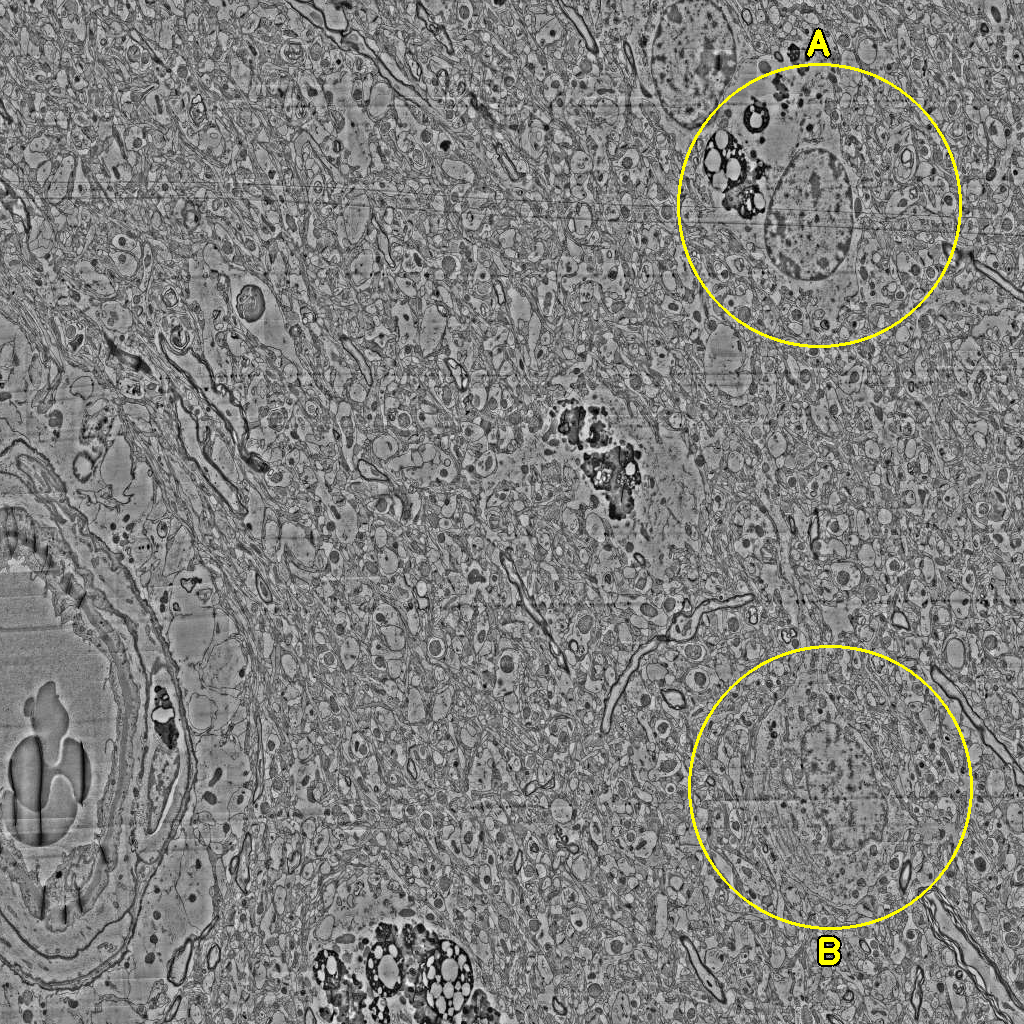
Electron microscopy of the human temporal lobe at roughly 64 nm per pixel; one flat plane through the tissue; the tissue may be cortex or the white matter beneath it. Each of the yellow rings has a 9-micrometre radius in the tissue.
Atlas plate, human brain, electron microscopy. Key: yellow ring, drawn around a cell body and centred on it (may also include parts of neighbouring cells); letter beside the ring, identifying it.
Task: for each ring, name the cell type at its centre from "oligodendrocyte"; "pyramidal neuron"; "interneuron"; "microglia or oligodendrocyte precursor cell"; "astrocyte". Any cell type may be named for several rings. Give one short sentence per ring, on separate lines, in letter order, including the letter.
Ring A is centred over an astrocyte.
Ring B is centred over an interneuron.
